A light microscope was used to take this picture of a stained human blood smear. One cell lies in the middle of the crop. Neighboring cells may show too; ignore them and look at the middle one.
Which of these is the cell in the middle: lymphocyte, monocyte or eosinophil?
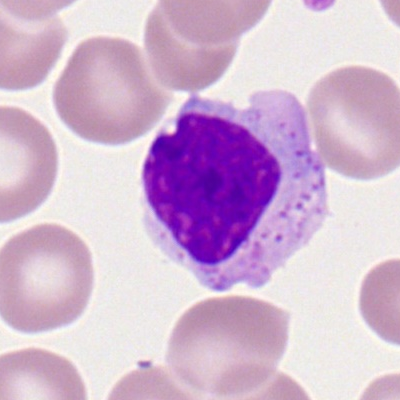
lymphocyte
